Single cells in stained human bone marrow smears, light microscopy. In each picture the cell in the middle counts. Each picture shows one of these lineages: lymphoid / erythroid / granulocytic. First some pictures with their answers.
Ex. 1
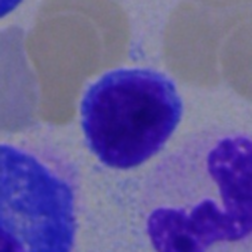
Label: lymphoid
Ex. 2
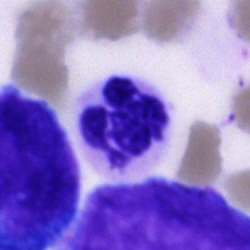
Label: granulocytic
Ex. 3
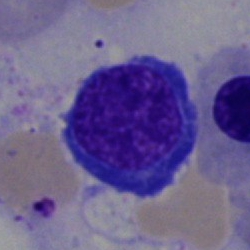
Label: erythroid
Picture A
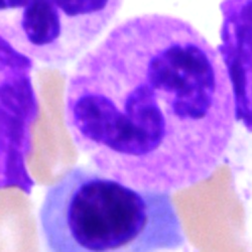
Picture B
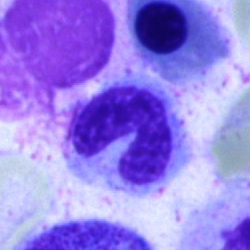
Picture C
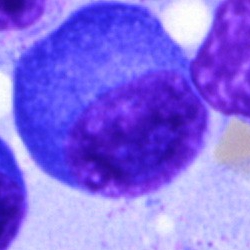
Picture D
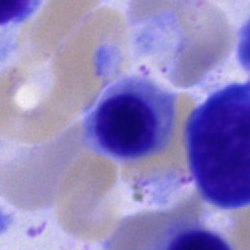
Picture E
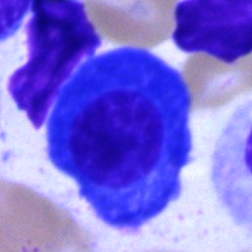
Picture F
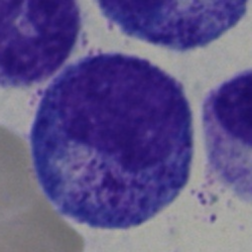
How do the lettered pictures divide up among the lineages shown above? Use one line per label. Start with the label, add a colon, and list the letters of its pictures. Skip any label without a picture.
lymphoid: C, E
erythroid: D
granulocytic: A, B, F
